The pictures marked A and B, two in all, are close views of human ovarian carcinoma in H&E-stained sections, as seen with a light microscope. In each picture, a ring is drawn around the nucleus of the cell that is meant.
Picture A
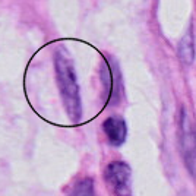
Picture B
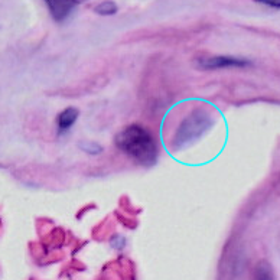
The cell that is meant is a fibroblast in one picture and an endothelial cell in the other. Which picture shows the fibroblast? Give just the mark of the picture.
A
